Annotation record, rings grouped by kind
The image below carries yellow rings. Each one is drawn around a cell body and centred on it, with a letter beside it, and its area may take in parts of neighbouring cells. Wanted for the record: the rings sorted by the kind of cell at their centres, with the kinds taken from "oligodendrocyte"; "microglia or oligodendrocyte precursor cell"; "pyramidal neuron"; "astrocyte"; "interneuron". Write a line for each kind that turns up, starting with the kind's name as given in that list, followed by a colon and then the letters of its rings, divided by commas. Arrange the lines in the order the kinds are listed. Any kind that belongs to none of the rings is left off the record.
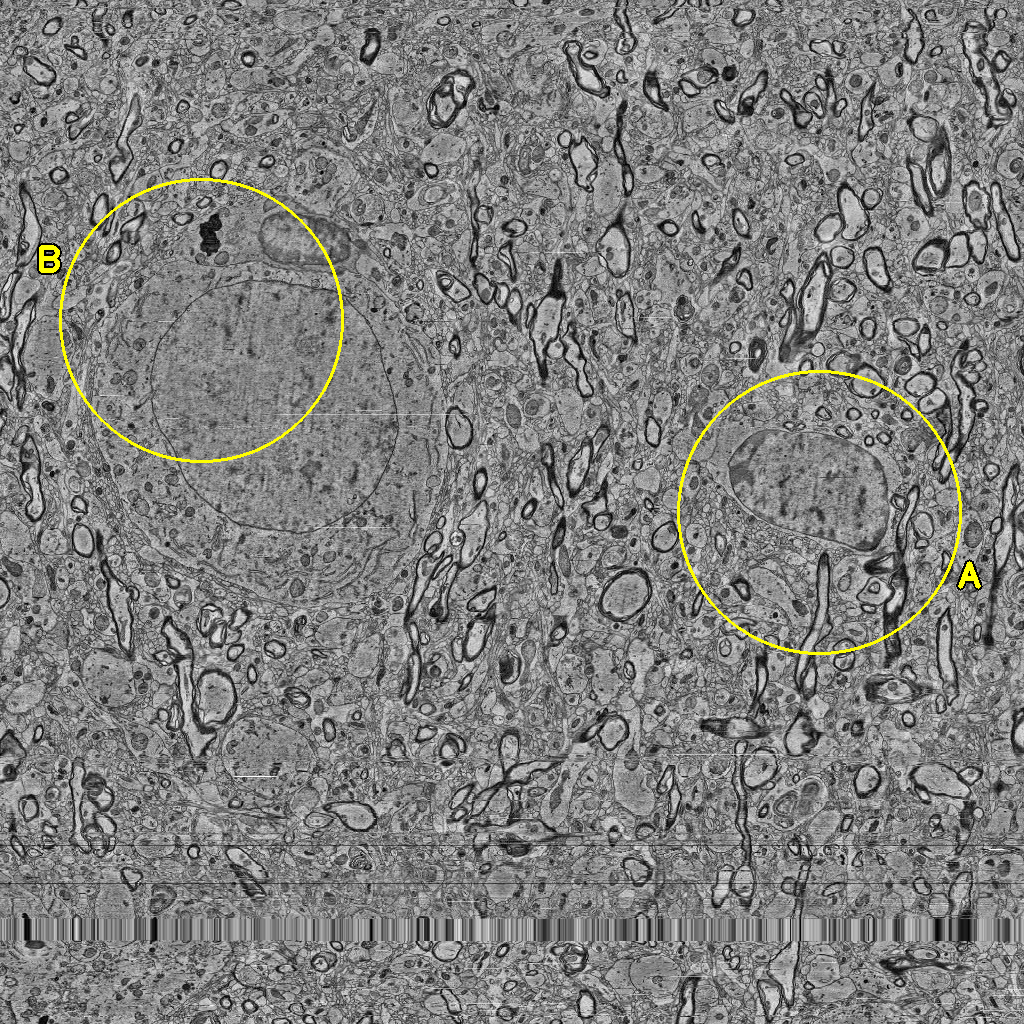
microglia or oligodendrocyte precursor cell: A
pyramidal neuron: B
